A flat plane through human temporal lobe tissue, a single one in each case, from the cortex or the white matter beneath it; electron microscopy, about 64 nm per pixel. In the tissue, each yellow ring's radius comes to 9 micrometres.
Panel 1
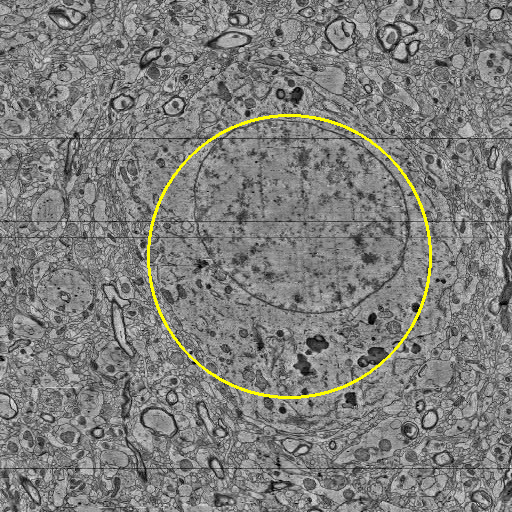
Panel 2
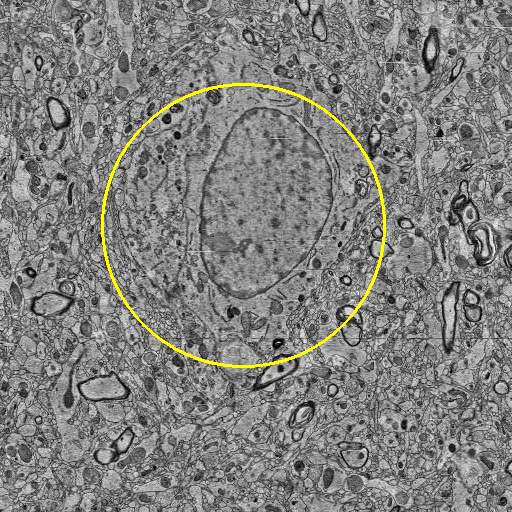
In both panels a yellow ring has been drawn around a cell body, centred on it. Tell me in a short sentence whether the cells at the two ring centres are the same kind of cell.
No, they are two kinds of cell.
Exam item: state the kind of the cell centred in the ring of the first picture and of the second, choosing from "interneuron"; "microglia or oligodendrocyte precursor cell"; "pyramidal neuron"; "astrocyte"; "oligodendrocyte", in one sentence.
The first picture shows a pyramidal neuron at the ring centre and the second shows a microglial cell or oligodendrocyte precursor cell.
